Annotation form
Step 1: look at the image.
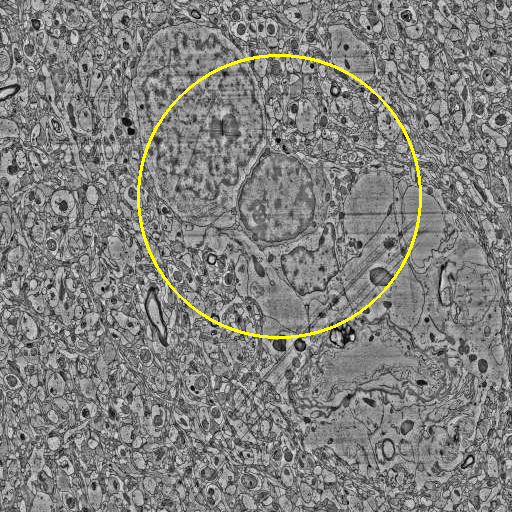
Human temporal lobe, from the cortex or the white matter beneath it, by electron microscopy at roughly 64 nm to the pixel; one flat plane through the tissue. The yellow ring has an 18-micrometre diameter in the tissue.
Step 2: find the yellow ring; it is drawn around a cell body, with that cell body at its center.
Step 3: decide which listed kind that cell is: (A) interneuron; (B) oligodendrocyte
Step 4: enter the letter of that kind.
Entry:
B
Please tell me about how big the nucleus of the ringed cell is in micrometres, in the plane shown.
The nucleus works out at approximately 6 by 5 micrometres in this plane.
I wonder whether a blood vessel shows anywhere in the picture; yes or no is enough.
Yes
